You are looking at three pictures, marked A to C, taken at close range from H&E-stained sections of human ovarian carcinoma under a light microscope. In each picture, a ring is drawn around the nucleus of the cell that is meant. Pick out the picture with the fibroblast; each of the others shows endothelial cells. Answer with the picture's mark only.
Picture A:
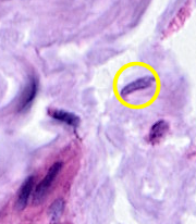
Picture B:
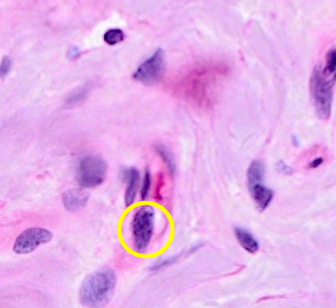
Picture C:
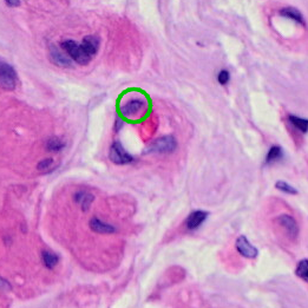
A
